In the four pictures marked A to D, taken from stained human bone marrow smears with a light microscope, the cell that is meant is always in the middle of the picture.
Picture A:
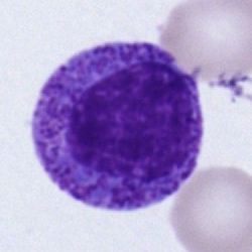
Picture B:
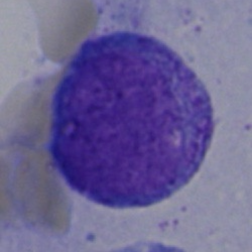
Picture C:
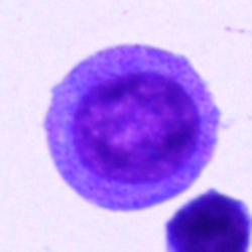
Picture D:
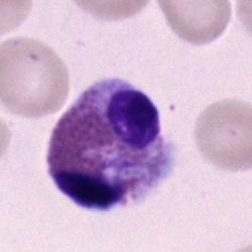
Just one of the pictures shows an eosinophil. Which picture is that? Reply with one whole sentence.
Picture D shows the eosinophil.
